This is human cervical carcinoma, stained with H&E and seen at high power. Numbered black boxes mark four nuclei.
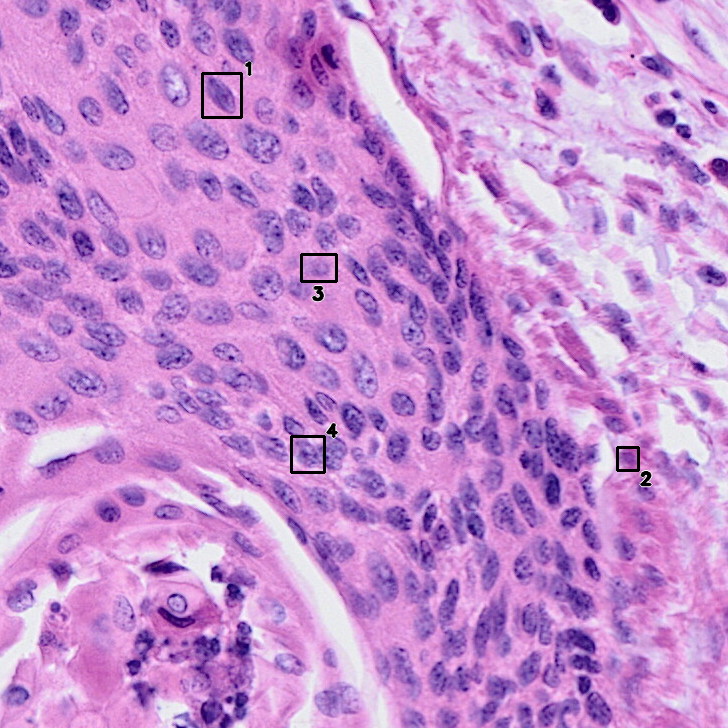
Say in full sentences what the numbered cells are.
Cells 1, 3 and 4 are squamous carcinoma cells. Cell 2 is a fibroblast.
